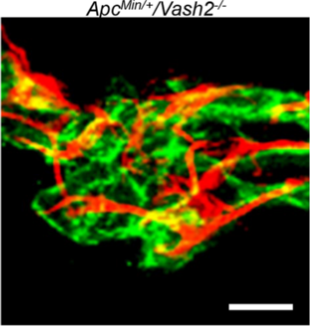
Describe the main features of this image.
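The red cells send thin processes that run parallel to and wind around the green vessel walls. Where red and green meet, the overlap appears yellow along long stretches of the vessels. Single nuclei cannot be made out.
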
